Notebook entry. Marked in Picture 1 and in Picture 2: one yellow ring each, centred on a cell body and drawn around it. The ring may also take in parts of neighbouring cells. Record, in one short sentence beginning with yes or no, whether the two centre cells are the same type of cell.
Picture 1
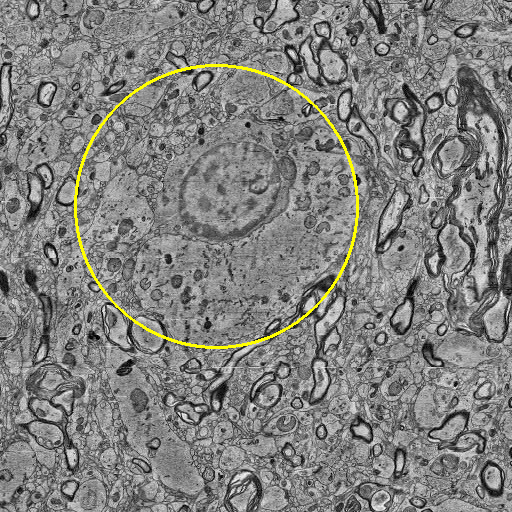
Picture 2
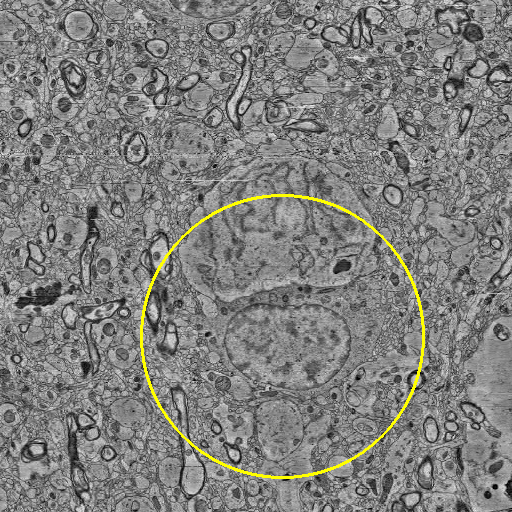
Yes, both are the same type of cell.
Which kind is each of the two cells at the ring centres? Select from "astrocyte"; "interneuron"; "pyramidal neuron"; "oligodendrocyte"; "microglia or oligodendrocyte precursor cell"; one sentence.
Each cell, in the first picture and the second, is an oligodendrocyte.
